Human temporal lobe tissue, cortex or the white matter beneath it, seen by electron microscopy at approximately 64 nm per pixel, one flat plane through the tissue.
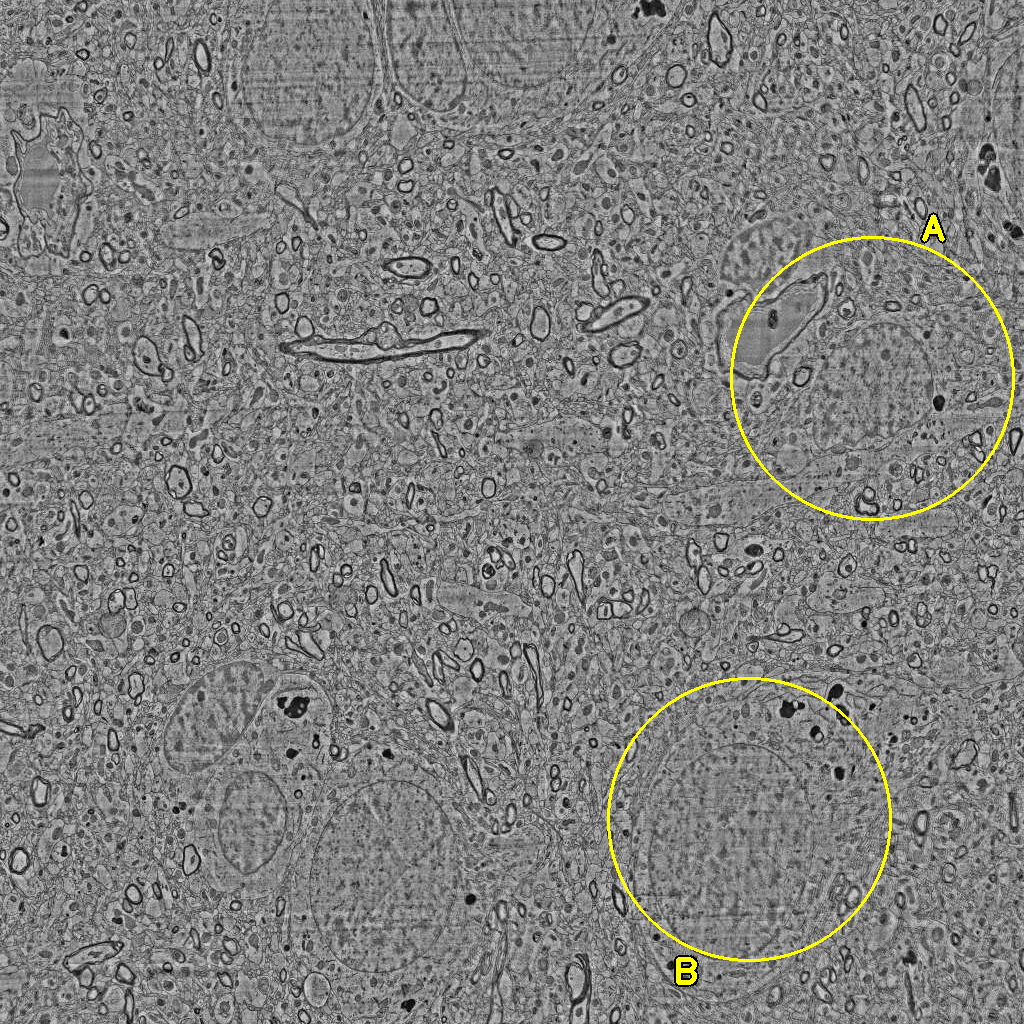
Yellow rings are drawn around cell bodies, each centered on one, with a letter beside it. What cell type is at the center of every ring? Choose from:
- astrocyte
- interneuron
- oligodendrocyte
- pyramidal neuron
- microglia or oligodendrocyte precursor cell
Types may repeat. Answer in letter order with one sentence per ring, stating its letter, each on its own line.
The cell at the center of ring A is an interneuron.
The cell at the center of ring B is a pyramidal neuron.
